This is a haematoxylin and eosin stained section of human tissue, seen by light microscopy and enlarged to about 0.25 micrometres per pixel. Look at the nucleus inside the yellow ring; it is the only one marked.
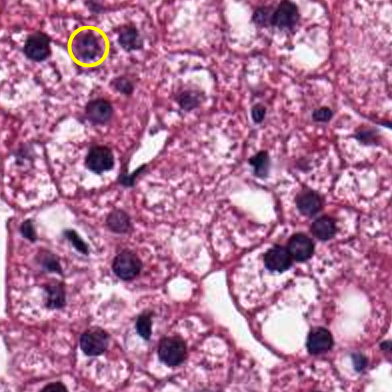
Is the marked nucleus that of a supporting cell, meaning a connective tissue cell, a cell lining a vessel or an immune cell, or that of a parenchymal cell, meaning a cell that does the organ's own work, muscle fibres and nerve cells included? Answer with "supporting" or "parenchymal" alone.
parenchymal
